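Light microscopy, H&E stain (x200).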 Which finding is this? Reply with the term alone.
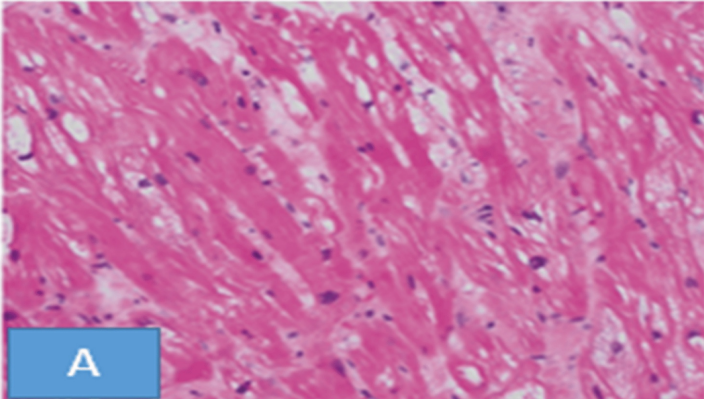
Myocyte vacuolization.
